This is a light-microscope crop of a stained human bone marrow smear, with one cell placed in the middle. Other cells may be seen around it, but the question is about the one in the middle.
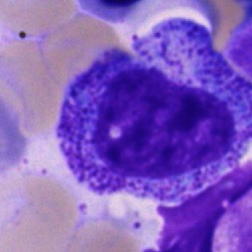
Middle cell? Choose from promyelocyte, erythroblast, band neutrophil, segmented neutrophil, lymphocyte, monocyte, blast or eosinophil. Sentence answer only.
At the crop's centre, the cell is a promyelocyte.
